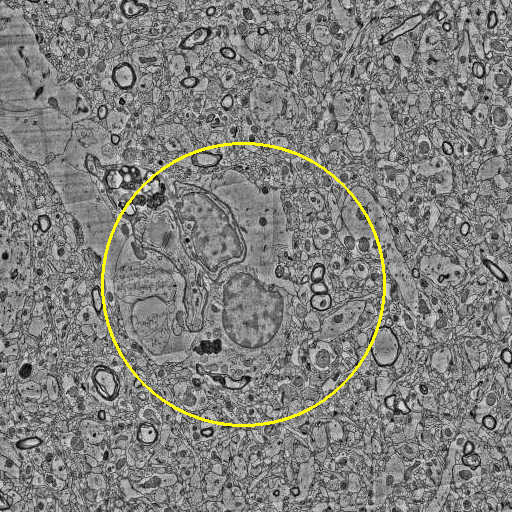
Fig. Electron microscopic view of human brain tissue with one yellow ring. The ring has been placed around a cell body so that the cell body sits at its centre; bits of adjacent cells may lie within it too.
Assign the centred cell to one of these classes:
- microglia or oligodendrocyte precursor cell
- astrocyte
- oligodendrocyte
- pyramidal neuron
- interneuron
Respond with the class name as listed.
oligodendrocyte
